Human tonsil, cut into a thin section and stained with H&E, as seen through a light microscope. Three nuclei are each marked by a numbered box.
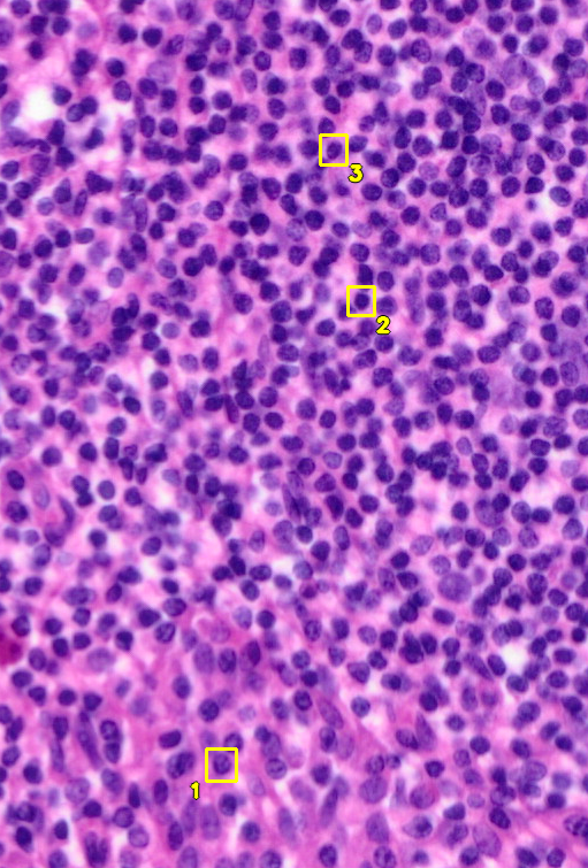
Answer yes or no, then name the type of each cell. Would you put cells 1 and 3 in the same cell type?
No, cell 3 is a small lymphocyte, while cell 1 is a plasma cell.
